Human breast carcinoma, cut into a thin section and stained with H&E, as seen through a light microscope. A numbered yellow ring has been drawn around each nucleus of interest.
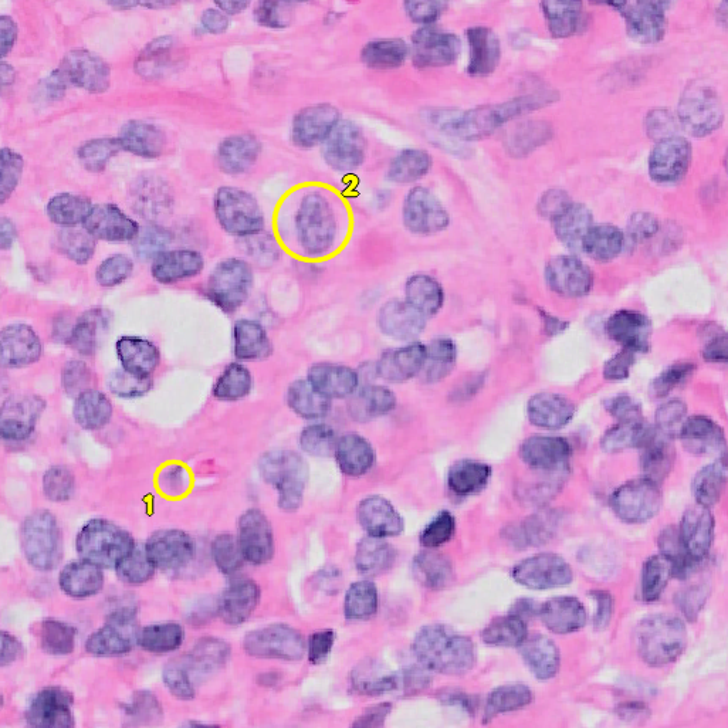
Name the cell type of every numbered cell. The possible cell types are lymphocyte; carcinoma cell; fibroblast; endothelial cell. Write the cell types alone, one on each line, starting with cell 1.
endothelial cell
carcinoma cell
